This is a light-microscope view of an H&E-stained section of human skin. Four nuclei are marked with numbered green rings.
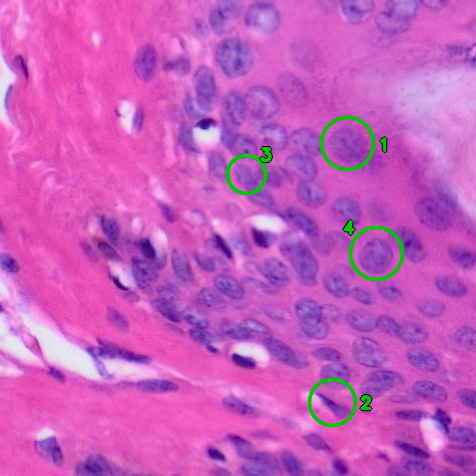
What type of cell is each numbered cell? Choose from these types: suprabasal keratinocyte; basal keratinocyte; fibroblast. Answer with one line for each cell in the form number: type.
1: suprabasal keratinocyte
2: fibroblast
3: basal keratinocyte
4: suprabasal keratinocyte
